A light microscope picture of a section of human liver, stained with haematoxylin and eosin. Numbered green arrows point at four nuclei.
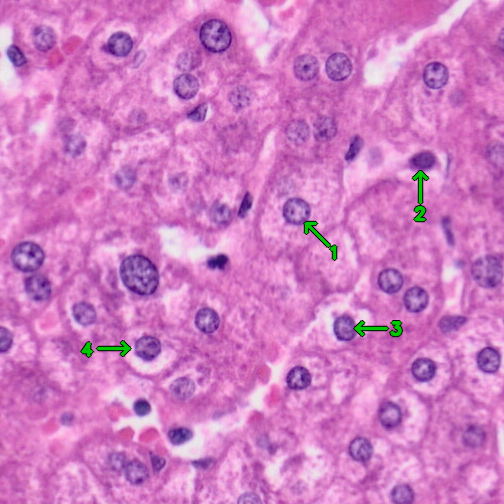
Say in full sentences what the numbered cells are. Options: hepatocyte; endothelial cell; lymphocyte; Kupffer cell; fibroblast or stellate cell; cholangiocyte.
Cells 1, 3 and 4 are hepatocytes. Cell 2 is a Kupffer cell.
